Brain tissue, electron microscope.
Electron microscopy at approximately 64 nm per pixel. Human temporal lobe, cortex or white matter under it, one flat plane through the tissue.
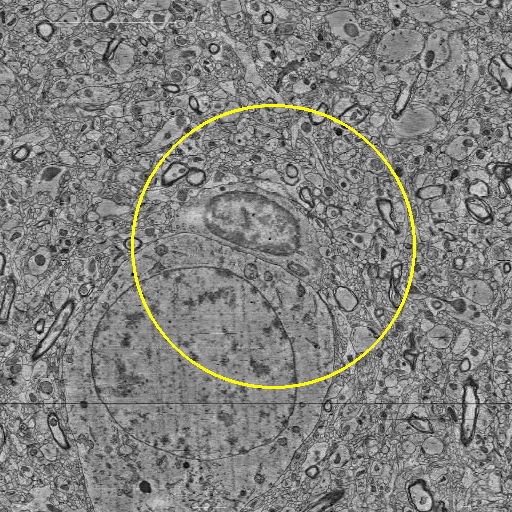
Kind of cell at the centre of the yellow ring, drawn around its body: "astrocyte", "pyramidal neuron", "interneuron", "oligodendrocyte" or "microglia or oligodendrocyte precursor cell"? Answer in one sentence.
The ring's centre falls on an oligodendrocyte.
